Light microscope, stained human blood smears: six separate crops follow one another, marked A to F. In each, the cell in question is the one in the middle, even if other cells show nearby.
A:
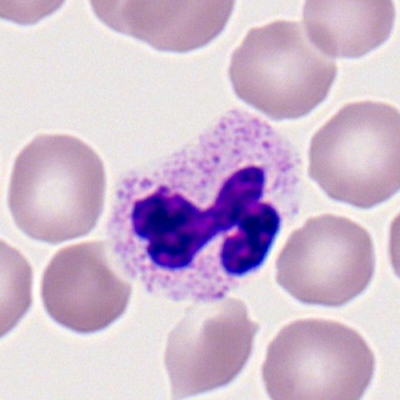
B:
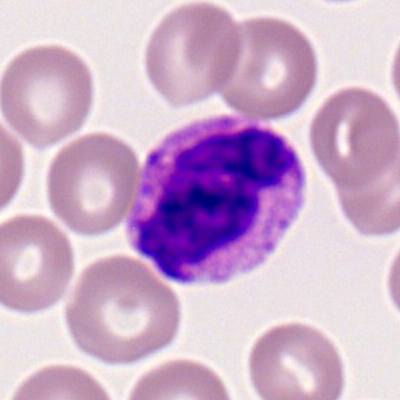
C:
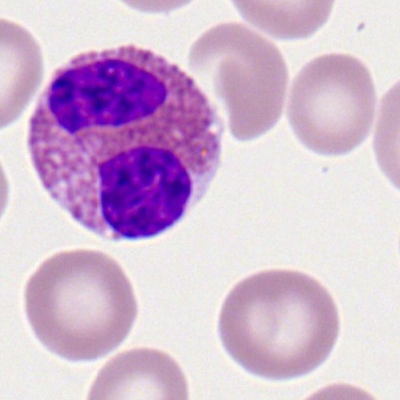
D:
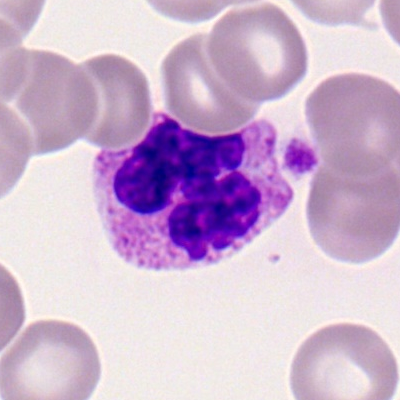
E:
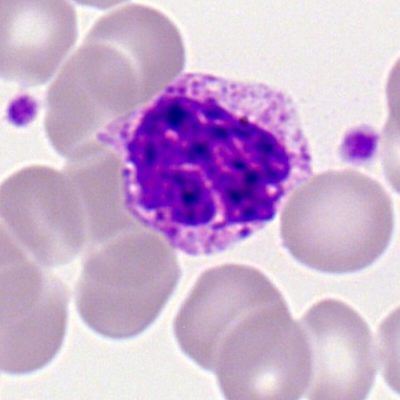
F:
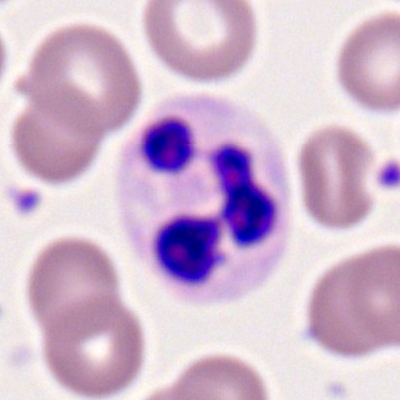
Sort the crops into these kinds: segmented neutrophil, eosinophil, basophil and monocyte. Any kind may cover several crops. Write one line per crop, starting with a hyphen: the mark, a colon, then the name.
- A: segmented neutrophil
- B: basophil
- C: eosinophil
- D: basophil
- E: basophil
- F: segmented neutrophil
